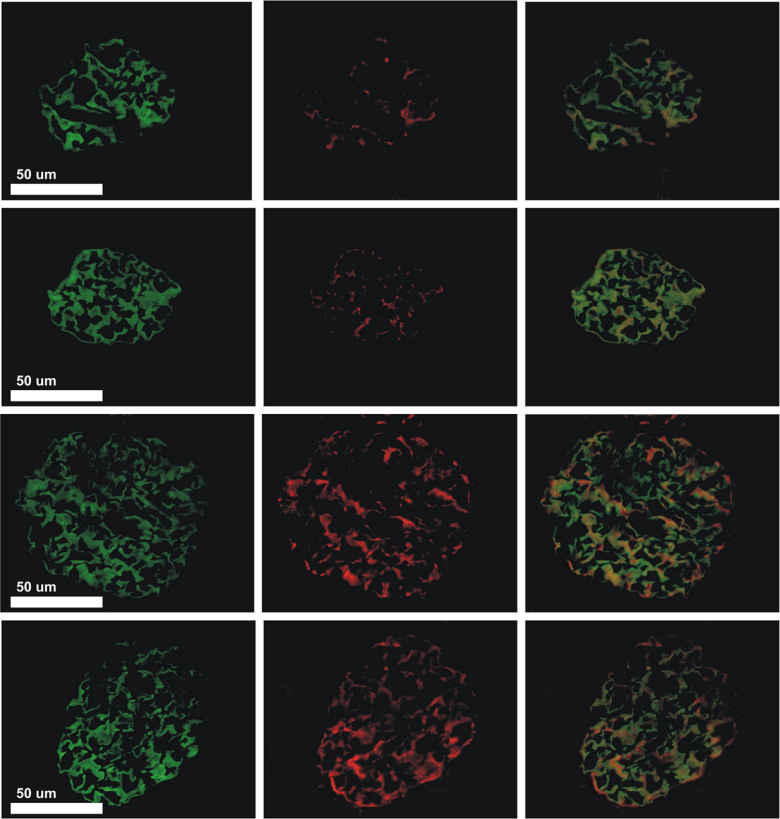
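The red staining lies within the same tufts; in the upper rows it is sparse and speckled, while in the lower rows it is broad and bright. In the merged images, red overlapping green appears yellow to orange along the loops, most extensively in the lower rows. The dark spaces between the green strands correspond to the lumina of the capillaries.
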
